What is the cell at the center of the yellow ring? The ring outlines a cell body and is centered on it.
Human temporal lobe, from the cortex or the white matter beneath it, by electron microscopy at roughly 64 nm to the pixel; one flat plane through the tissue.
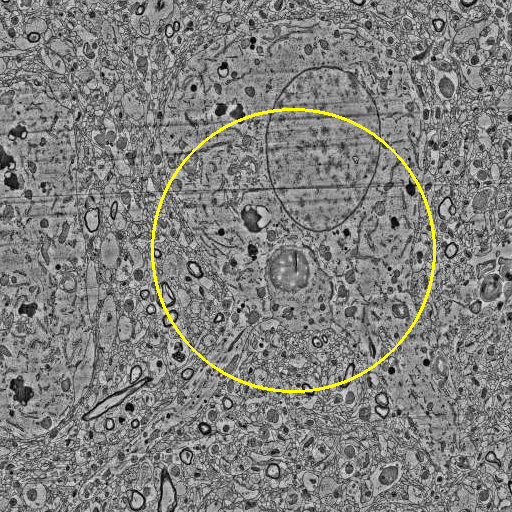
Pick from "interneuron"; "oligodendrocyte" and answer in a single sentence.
The yellow ring is centered on an oligodendrocyte.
